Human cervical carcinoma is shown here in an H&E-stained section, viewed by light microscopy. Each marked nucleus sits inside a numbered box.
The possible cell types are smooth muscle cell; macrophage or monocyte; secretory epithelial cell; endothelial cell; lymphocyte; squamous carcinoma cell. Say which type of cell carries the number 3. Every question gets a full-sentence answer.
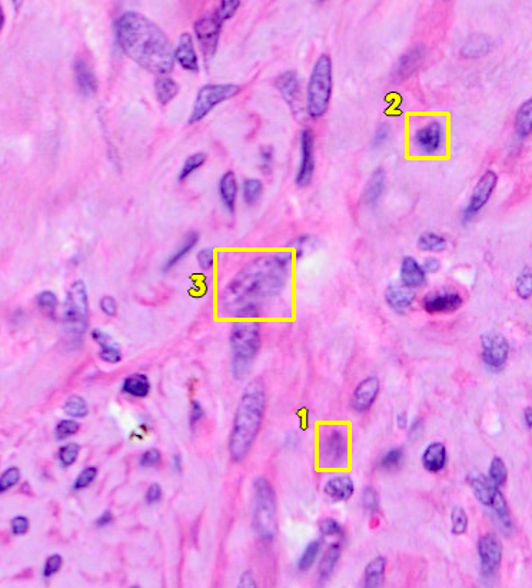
In the marked set, the cell given number 3 is an endothelial cell.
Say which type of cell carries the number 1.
It is as a smooth muscle cell that the cell numbered 1 is identified.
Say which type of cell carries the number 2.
Here, the cell given the number 2 is a lymphocyte.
